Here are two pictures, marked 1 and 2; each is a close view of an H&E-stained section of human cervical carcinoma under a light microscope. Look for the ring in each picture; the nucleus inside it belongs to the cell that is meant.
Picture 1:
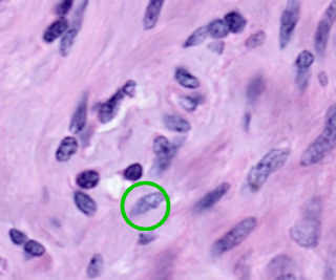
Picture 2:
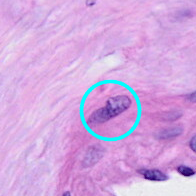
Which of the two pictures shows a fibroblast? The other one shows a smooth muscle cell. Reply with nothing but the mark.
1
